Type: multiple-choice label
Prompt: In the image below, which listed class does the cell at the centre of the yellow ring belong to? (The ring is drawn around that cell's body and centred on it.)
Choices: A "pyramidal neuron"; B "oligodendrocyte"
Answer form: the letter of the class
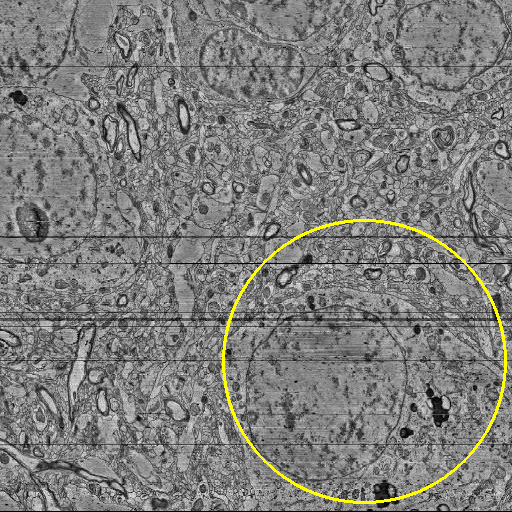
A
